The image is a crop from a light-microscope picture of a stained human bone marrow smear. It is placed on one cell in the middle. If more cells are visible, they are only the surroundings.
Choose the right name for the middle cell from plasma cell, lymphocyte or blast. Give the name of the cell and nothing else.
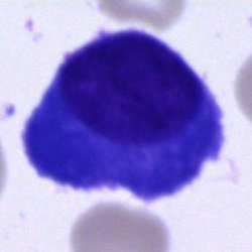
plasma cell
